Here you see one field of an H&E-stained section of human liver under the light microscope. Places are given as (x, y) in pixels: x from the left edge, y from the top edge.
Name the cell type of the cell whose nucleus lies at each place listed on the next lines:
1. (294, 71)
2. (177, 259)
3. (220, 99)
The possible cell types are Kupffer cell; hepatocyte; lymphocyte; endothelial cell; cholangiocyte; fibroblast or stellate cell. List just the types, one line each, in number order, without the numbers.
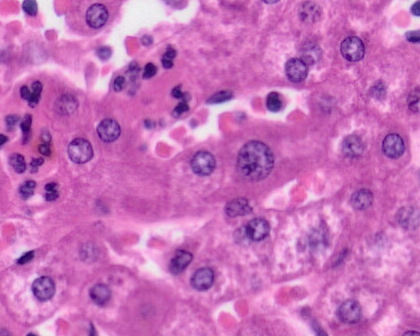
hepatocyte
Kupffer cell
endothelial cell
